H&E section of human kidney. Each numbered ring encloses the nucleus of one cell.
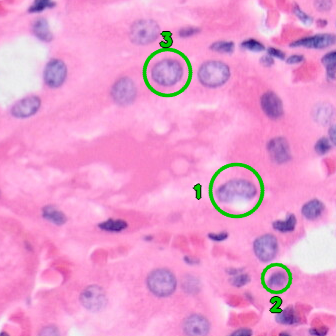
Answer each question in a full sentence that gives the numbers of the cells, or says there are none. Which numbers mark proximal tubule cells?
The cells referred to by numbers 1 and 3 are proximal tubule cells.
